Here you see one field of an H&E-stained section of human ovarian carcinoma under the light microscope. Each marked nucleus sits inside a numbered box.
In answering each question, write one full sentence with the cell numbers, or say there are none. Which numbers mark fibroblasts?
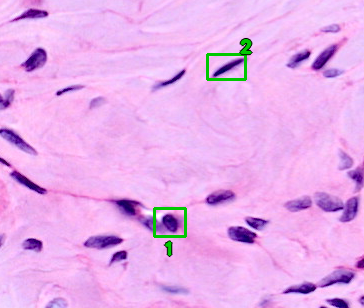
Cell 2 is a fibroblast; the remaining numbered cells are not.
